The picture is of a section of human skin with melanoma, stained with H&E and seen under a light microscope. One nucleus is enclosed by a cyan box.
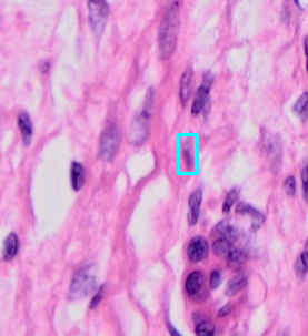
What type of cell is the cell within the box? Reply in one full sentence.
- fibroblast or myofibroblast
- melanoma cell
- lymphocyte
It is a fibroblast or myofibroblast that the cell within the box represents.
